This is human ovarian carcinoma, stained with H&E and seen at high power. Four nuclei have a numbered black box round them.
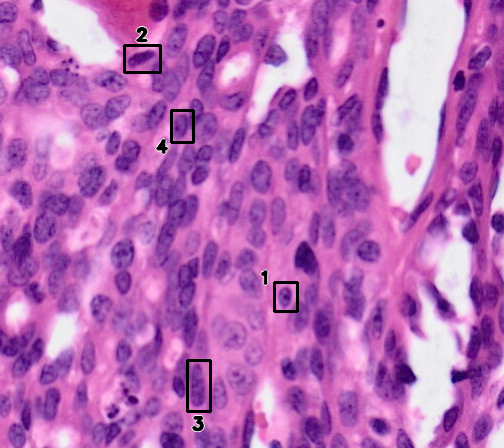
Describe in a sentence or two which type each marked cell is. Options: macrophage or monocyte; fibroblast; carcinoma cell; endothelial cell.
Cell 1 is a macrophage or monocyte, cell 2 is a carcinoma cell, cell 3 is a carcinoma cell and cell 4 is a carcinoma cell.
